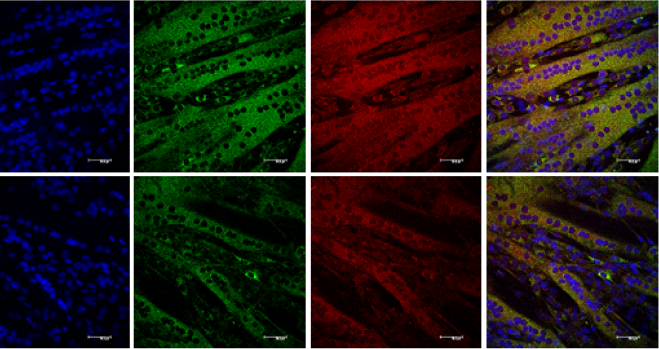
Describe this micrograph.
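Cultured myotubes seen as a grid of fluorescence images, separate channels and merged. Long, spindle-shaped fibres run roughly in parallel. Red fills the fibre cytoplasm. Green is spread diffusely through the fibres, with a few small bright green spots. Round to oval blue nuclei are numerous. Some lie in rows inside single fibres, others sit in the spaces between fibres. In the green and red channels, nuclei inside fibres appear as dark round holes. In the merged images the fibres look yellow to orange where red and green overlap. In the lower row the fibres look narrower and the red is fainter.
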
